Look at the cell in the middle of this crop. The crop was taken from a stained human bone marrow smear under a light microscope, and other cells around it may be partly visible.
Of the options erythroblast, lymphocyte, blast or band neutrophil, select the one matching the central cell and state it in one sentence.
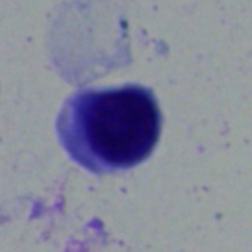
This particular crop is centered on an erythroblast.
